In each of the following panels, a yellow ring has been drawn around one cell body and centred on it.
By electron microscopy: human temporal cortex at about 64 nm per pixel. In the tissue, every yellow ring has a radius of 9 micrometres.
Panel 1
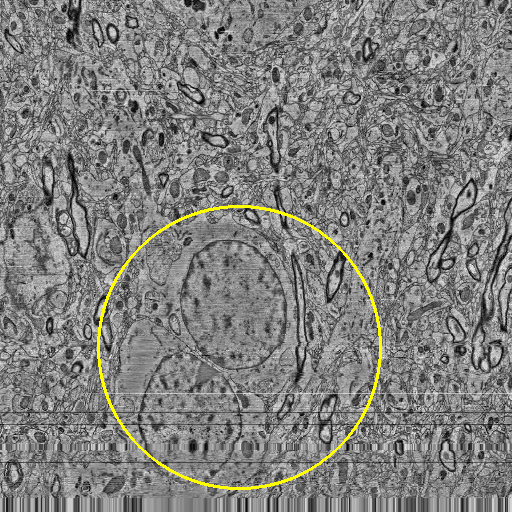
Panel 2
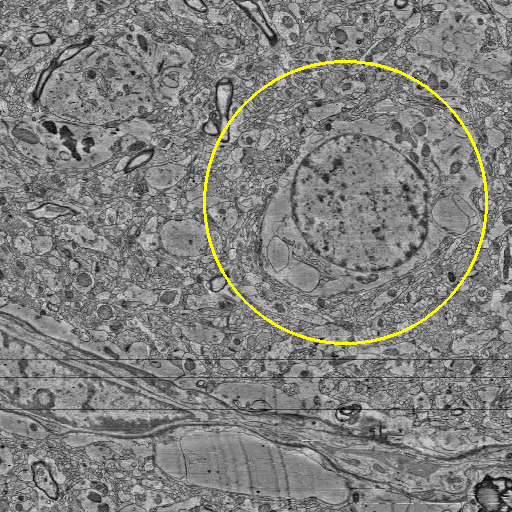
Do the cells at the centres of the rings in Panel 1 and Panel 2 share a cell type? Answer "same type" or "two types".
same type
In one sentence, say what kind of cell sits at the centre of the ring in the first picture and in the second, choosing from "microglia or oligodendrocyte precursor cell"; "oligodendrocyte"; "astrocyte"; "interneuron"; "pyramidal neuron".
Each of the two rings is centred on an astrocyte.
